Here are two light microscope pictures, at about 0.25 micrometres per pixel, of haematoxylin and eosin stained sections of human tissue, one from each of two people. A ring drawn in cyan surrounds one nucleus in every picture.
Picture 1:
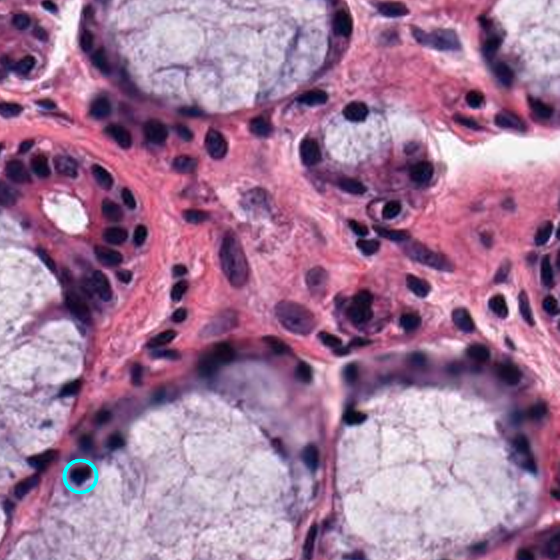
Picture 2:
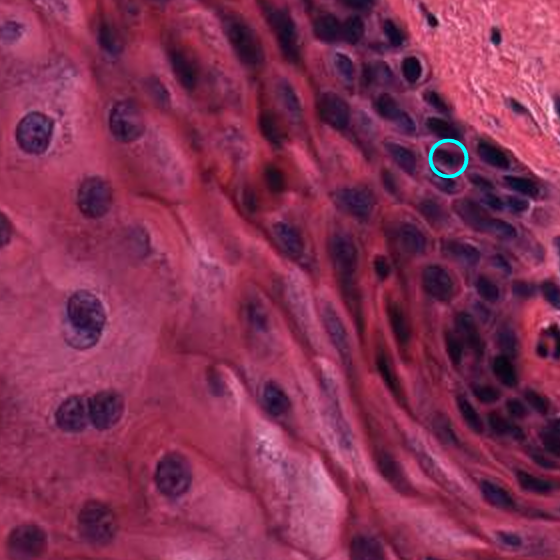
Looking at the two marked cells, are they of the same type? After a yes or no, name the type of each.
No, the first is a mucous gland cell and the second a squamous epithelial cell.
